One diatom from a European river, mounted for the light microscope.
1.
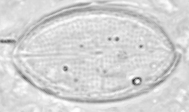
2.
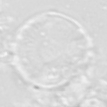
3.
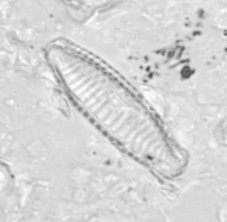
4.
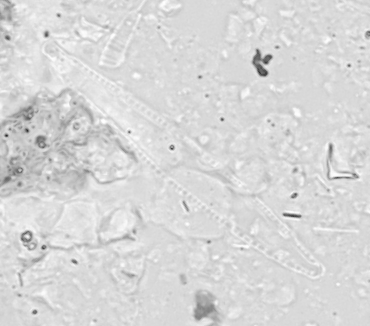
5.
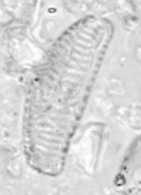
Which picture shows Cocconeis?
Picture 1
